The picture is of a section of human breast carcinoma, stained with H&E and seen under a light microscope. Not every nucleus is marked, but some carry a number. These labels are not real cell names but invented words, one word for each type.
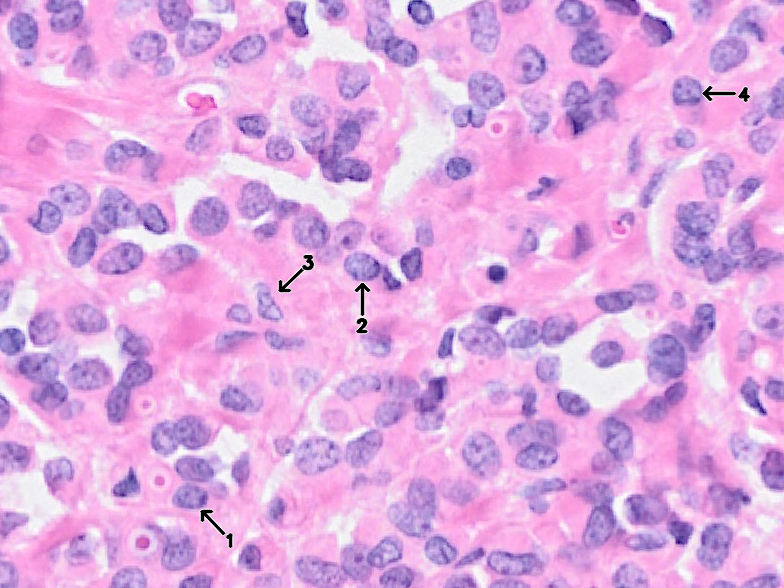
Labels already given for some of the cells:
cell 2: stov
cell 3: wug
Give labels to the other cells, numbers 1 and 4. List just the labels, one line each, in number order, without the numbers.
stov
stov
